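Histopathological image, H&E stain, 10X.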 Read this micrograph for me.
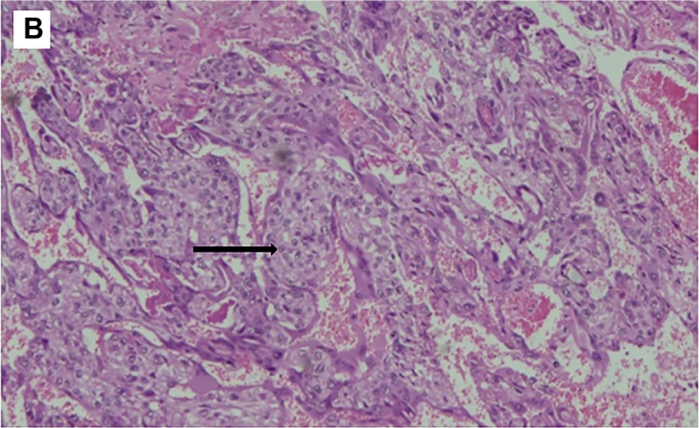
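Tumor tissue made of a mixture of cytotrophoblasts and syncytiotrophoblasts. Cytotrophoblast-like cells form nests and sheets of polygonal cells with pale to clear cytoplasm and round nuclei. The nests are bordered by strands of denser pink cytoplasm with darker nuclei. Irregular spaces between the nests are filled with red blood cells. There is no orderly tissue architecture.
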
